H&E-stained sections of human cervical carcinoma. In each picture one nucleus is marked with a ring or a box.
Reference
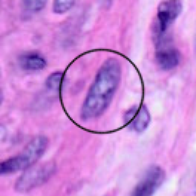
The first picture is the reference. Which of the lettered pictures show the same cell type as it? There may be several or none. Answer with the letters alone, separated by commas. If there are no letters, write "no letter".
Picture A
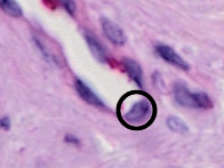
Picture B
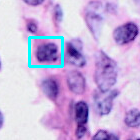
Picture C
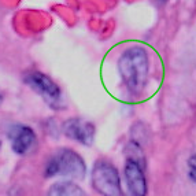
no letter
